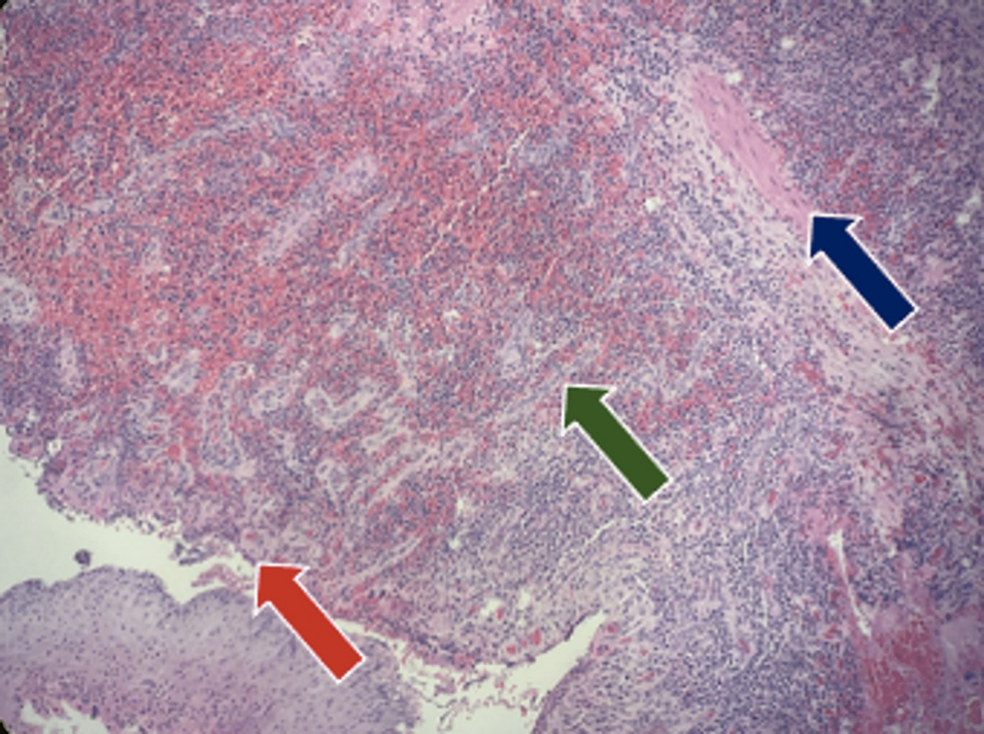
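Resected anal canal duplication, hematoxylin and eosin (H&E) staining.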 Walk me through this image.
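The underlying tissue is densely packed with red blood cells and many small, dark blue round nuclei of scattered inflammatory cells. At the upper right, a diagonal band of pink smooth muscle fibers with elongated nuclei crosses the field.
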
